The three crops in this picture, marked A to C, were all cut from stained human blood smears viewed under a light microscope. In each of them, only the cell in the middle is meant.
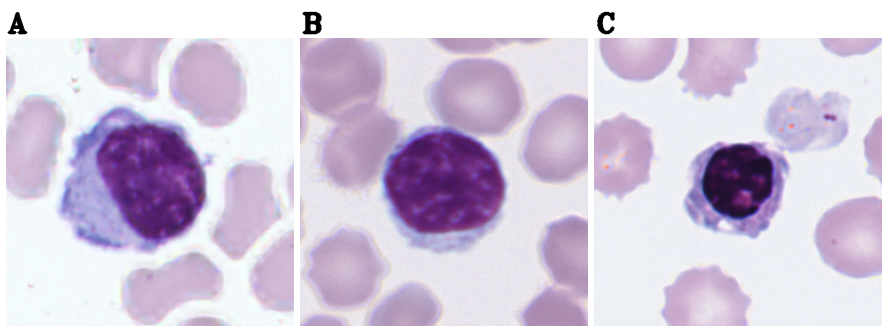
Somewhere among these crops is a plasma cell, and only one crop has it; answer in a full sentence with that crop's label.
Crop A is the crop in which a plasma cell is shown.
